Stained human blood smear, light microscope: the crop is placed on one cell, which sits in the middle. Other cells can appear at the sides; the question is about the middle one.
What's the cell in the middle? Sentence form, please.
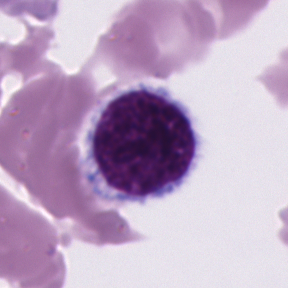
Framed in the middle of the crop is a hairy cell.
